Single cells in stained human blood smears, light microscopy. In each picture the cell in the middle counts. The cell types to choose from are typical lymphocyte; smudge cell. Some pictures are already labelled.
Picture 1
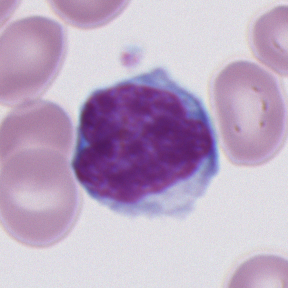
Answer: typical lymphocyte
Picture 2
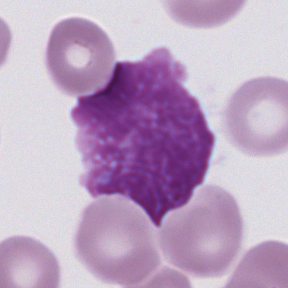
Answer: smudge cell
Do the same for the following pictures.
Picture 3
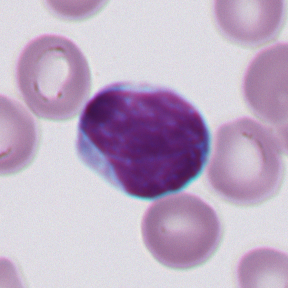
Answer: typical lymphocyte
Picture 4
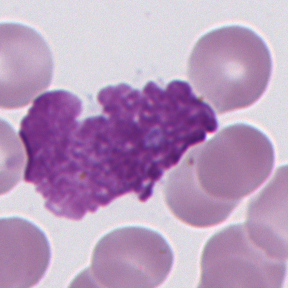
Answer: smudge cell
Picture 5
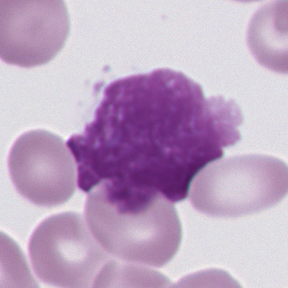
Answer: smudge cell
